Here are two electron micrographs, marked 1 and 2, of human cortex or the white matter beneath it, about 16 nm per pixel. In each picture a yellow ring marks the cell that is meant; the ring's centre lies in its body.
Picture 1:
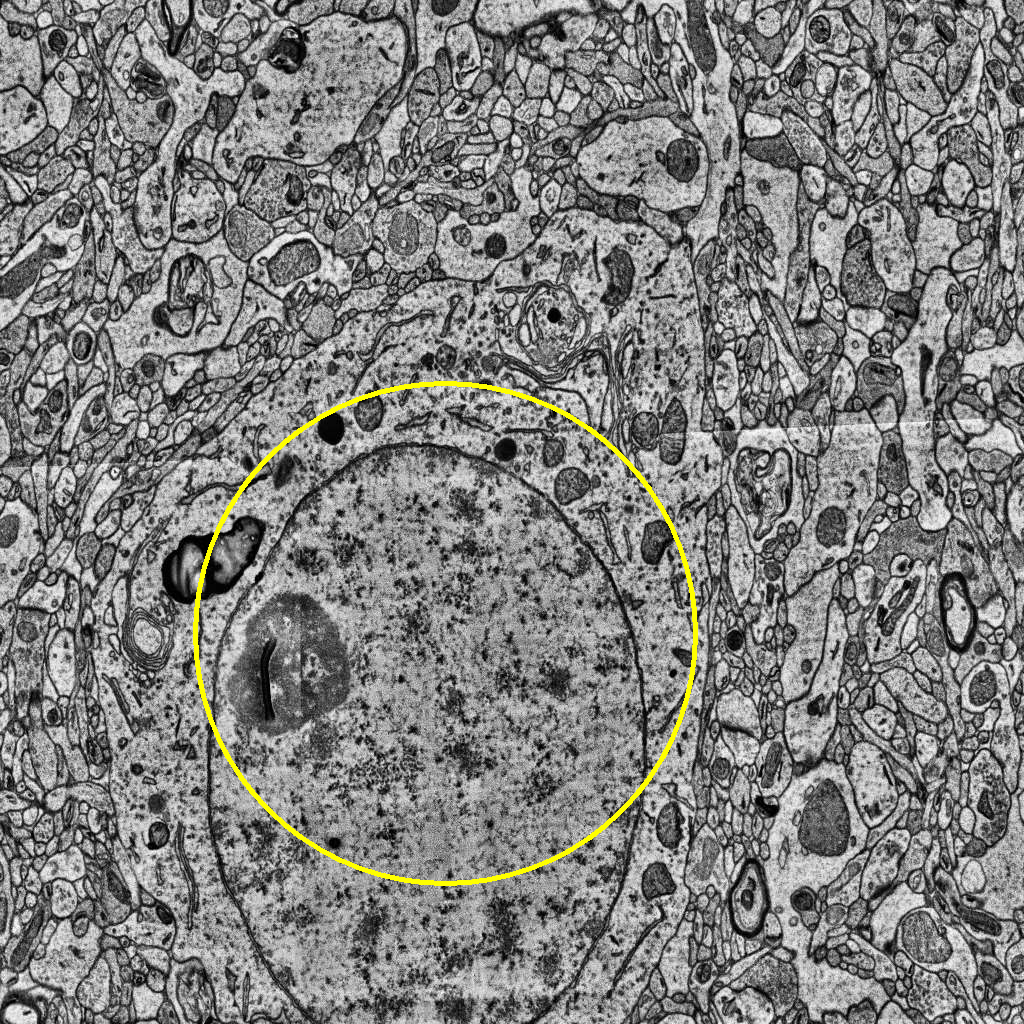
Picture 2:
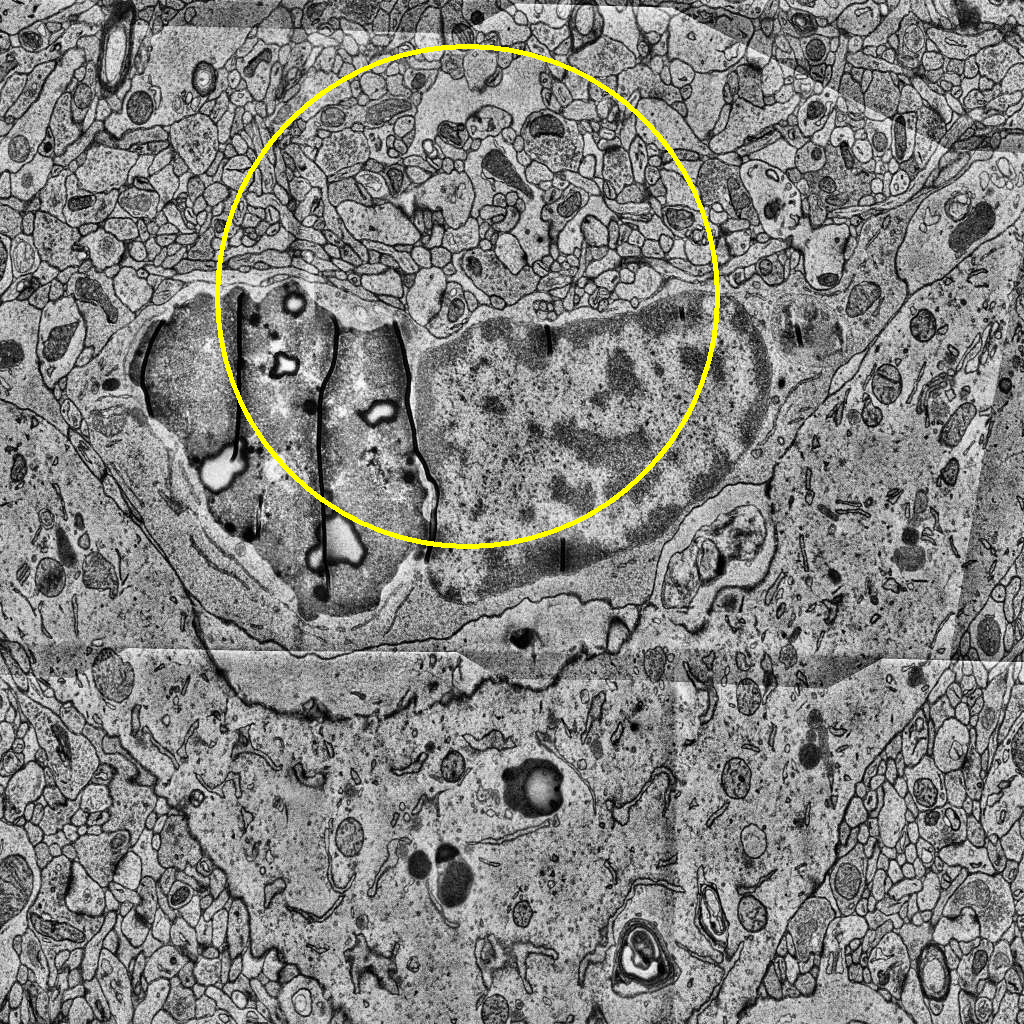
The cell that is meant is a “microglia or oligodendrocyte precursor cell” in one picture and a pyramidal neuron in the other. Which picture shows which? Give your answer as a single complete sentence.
It is picture 1 that shows a pyramidal neuron, and picture 2 that shows a “microglia or oligodendrocyte precursor cell”.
